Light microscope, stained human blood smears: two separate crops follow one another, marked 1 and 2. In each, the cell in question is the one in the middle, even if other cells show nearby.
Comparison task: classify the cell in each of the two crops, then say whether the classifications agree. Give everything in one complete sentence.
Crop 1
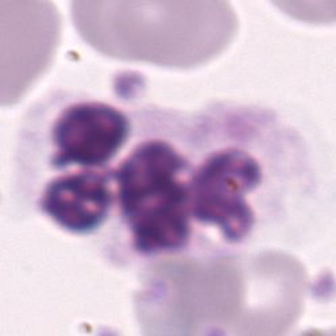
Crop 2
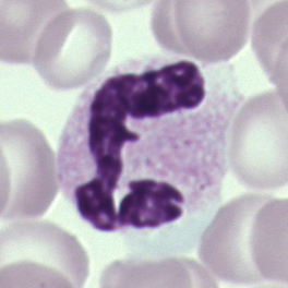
Yes, both crops contain segmented neutrophils at their centres.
